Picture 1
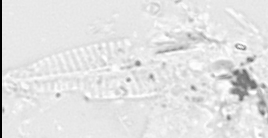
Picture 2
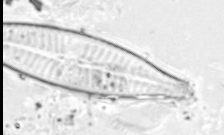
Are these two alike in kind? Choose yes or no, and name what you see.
Yes. Navicula.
